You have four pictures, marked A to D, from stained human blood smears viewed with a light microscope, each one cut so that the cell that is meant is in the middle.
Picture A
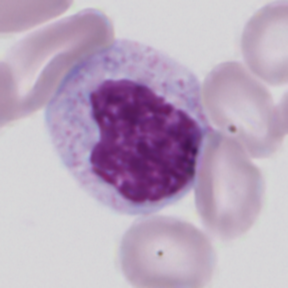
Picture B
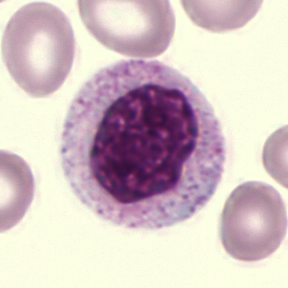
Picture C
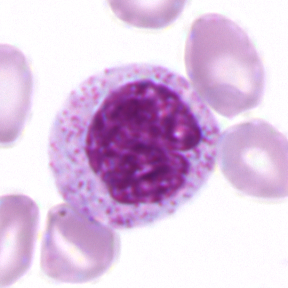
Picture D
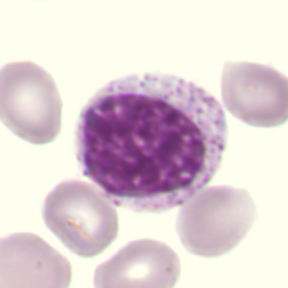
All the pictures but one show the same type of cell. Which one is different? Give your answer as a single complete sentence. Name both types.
The others show metamyelocytes, but picture C shows a band neutrophil.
